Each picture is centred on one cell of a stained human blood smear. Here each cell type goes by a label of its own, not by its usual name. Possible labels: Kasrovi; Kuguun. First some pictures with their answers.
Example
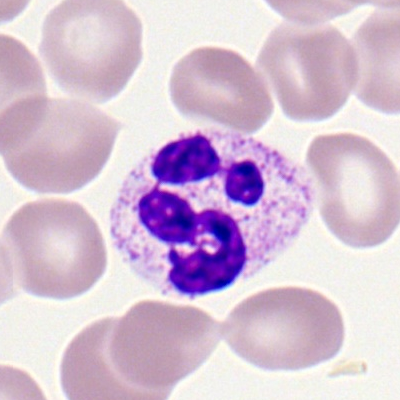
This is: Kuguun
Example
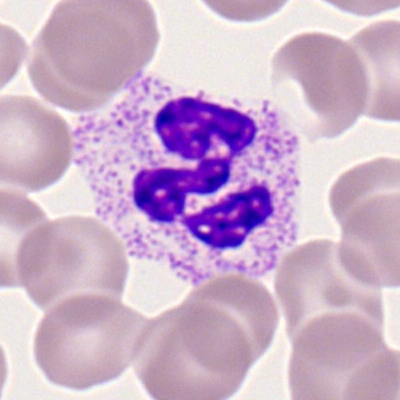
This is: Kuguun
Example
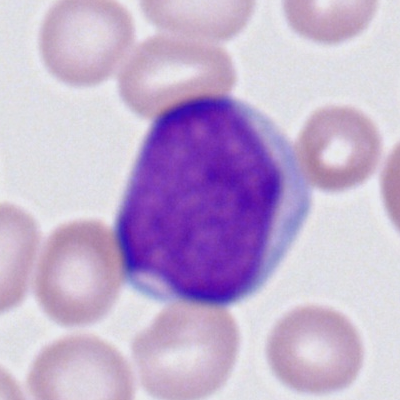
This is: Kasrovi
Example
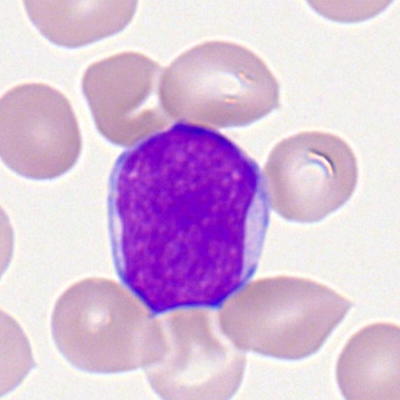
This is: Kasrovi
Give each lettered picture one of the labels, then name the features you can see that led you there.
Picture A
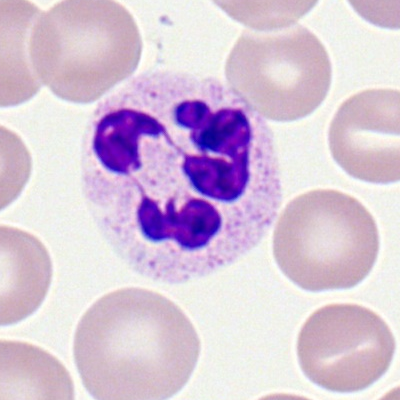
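Kuguun. The cytoplasm is pale pink.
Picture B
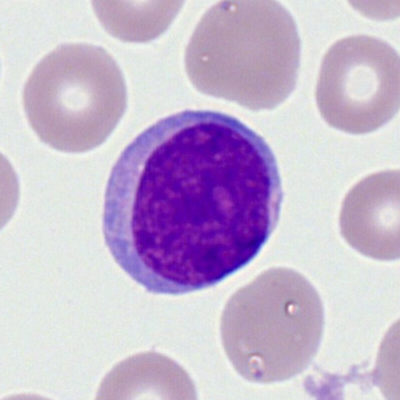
Kasrovi. The nucleus fills most of the cell.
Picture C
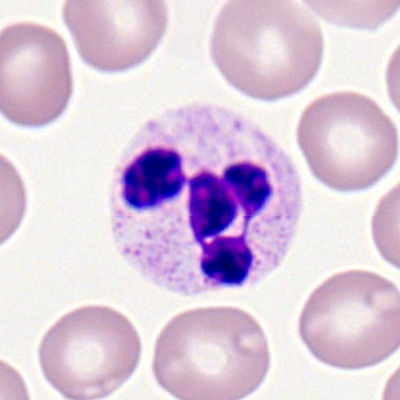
Kuguun. The nucleus is divided into four separate lobes.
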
